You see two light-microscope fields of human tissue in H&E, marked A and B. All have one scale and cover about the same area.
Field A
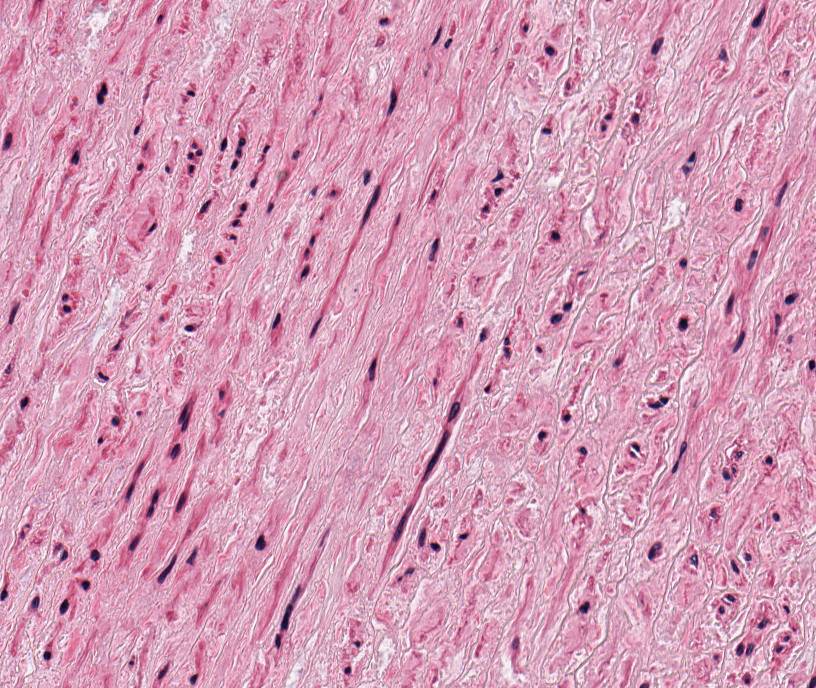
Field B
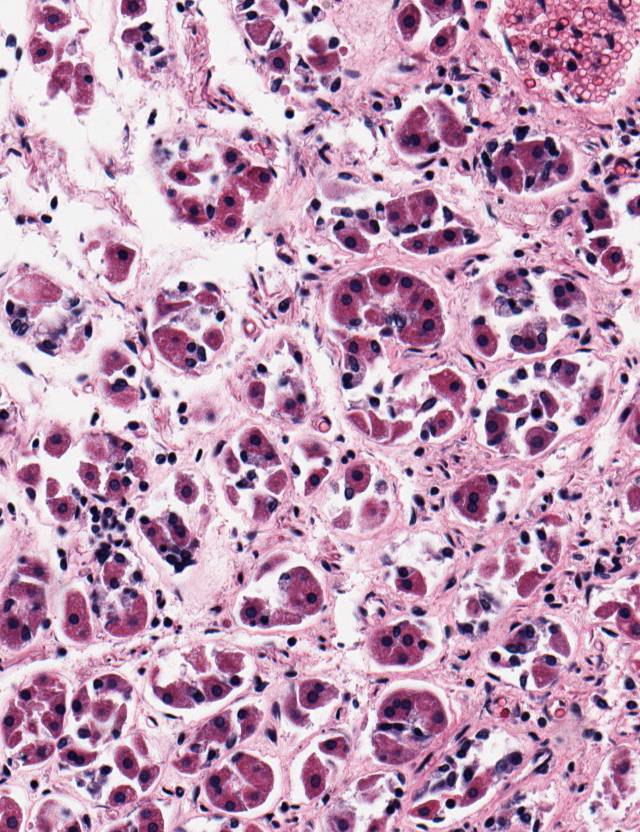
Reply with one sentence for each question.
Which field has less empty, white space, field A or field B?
Field A has less white space.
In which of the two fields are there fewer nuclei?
It is field A that has fewer nuclei in it.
